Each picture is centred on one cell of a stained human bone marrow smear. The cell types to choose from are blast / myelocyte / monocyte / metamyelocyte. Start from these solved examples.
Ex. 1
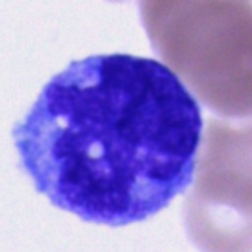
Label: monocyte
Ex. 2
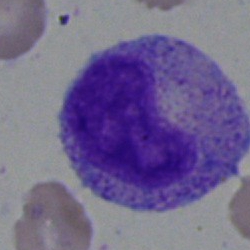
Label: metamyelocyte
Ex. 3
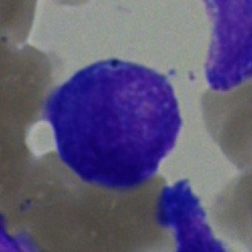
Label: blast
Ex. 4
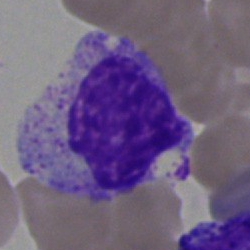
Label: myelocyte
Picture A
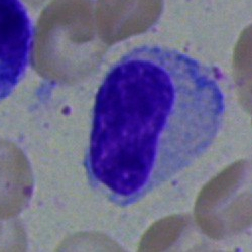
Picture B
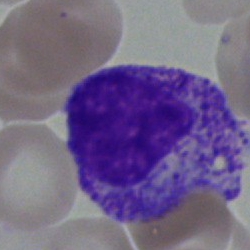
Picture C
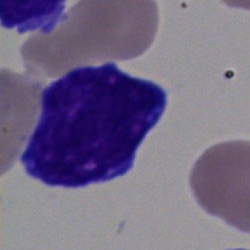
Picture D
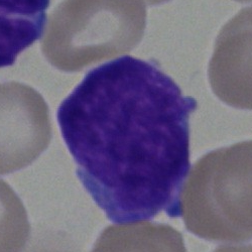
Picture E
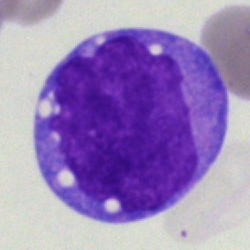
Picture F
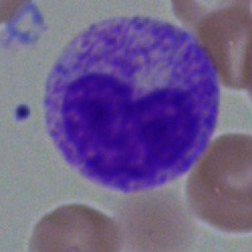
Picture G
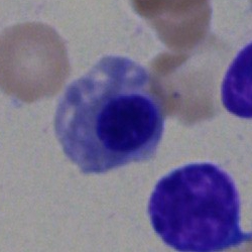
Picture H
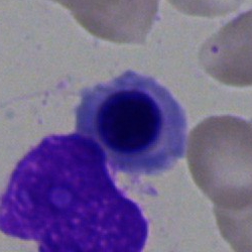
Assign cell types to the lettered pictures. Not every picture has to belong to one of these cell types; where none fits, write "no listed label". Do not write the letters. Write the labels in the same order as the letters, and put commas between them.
metamyelocyte, myelocyte, blast, blast, blast, metamyelocyte, no listed label, no listed label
